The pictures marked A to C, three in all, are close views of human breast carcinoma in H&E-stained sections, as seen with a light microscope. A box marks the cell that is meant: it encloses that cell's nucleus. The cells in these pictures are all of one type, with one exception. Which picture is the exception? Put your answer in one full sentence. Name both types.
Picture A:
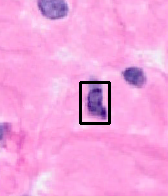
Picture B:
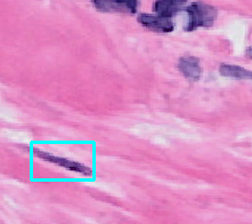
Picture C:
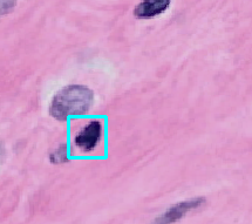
The others show lymphocytes, but picture B shows a fibroblast.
